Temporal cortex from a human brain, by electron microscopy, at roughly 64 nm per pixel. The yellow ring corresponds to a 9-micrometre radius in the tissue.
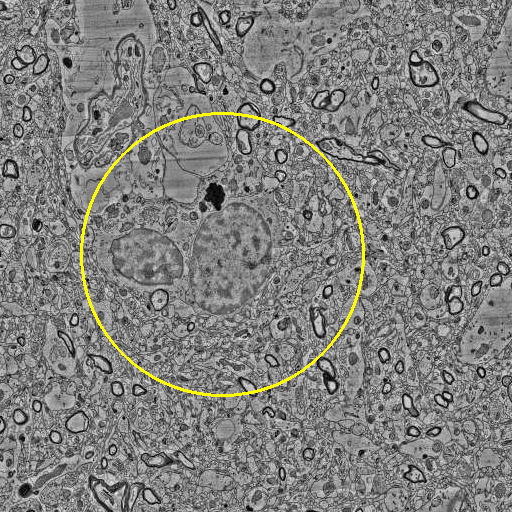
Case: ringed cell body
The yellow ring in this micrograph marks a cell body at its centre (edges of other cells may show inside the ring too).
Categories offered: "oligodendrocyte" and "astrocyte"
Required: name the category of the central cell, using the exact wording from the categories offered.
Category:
oligodendrocyte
